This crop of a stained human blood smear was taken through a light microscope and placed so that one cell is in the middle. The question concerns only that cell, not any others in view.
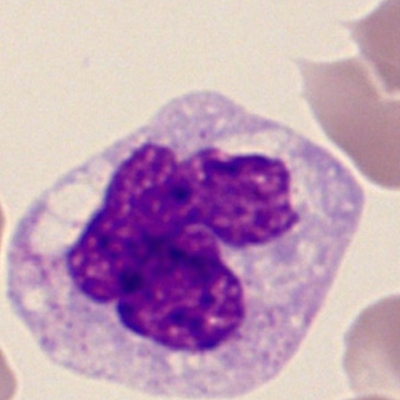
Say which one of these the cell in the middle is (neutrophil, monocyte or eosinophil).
monocyte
